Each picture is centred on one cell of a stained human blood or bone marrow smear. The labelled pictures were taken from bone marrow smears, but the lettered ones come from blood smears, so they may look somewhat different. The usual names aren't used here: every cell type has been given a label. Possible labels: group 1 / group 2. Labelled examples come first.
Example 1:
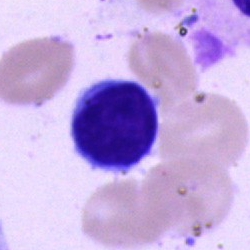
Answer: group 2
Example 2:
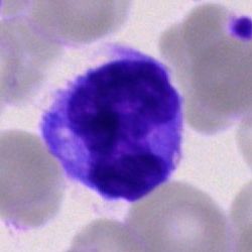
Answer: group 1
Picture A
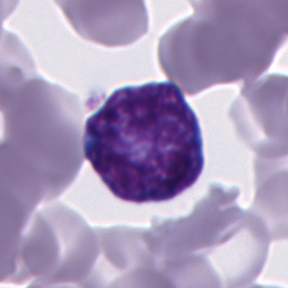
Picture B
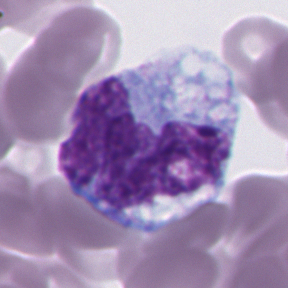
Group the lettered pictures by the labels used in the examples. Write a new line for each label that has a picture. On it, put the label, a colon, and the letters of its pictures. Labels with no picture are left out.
group 1: B
group 2: A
